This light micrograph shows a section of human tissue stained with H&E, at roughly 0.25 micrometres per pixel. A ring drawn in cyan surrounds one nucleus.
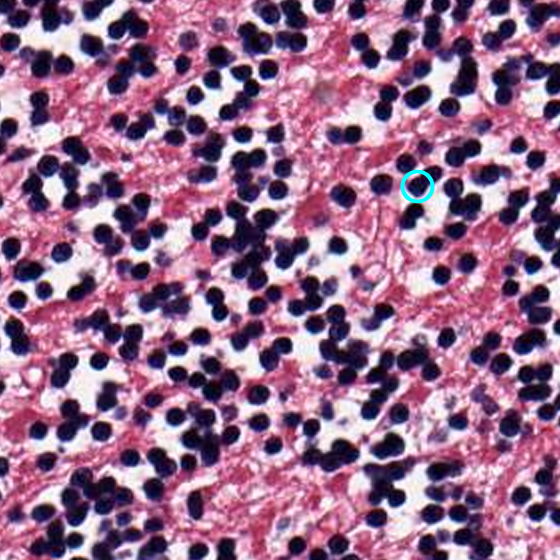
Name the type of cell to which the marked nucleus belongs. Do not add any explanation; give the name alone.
cerebellar granule cell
